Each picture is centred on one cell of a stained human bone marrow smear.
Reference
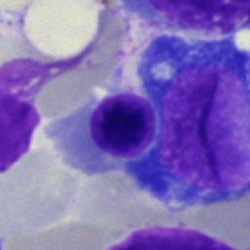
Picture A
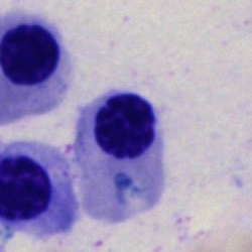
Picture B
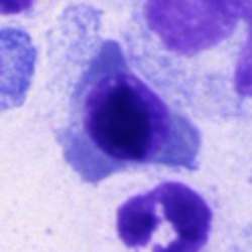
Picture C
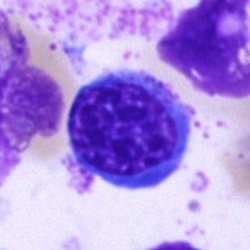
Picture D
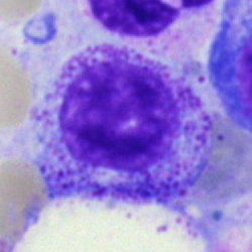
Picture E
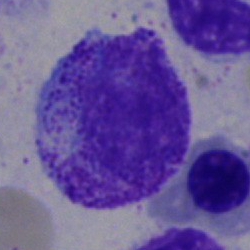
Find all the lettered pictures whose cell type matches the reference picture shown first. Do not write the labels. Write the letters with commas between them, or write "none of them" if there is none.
A, B, C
